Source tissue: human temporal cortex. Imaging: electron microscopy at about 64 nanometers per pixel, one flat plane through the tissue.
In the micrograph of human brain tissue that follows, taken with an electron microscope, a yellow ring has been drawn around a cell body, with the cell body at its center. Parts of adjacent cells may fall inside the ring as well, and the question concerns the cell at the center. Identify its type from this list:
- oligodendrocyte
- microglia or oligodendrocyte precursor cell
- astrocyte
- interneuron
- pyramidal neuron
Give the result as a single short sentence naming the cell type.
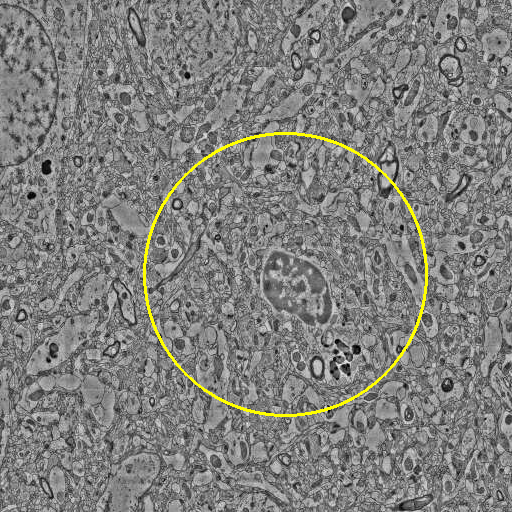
The ring is centered on a microglial cell or oligodendrocyte precursor cell.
